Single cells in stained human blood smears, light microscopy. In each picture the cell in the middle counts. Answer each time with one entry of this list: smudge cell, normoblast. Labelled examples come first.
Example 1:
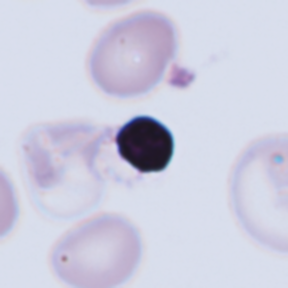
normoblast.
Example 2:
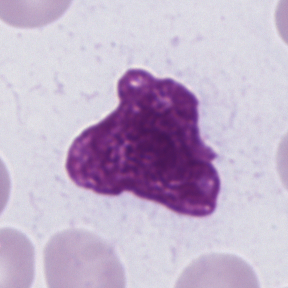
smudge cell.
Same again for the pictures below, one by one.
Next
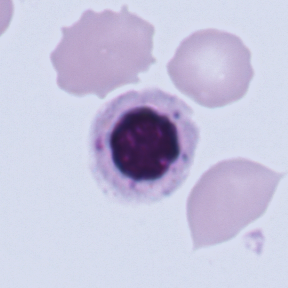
normoblast.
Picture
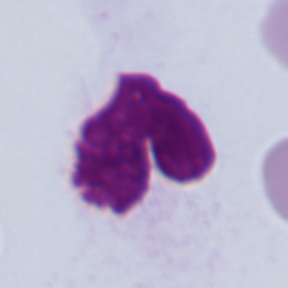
smudge cell.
